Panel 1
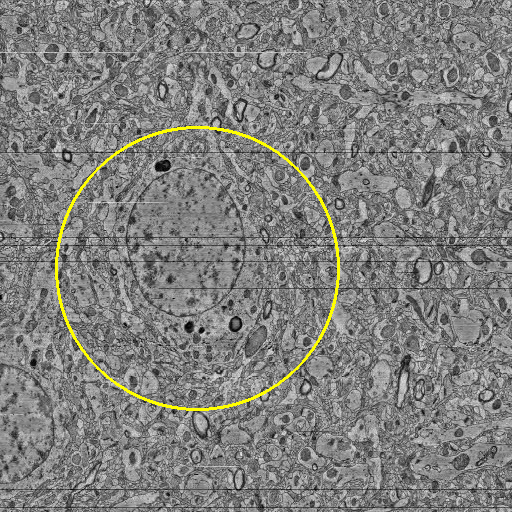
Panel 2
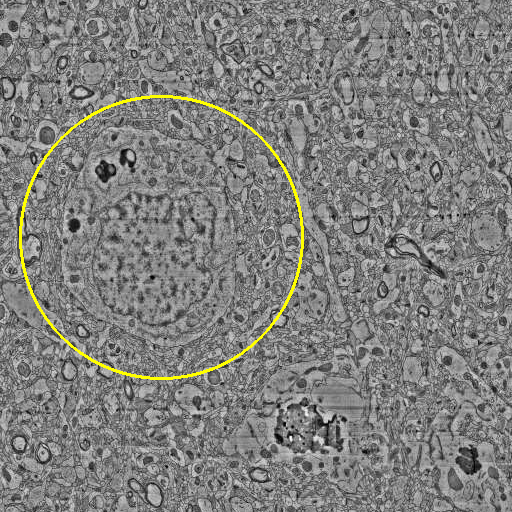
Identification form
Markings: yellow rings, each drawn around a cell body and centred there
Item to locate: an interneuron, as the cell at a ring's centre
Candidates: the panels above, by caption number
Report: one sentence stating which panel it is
It is Panel 2.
